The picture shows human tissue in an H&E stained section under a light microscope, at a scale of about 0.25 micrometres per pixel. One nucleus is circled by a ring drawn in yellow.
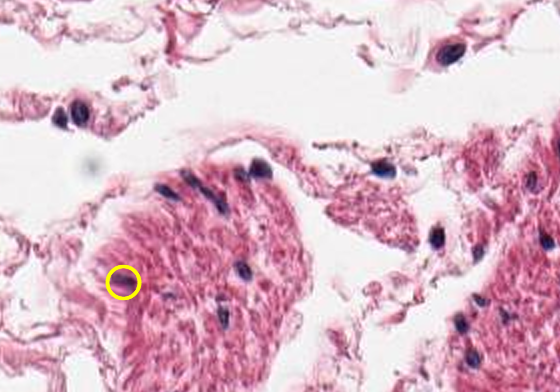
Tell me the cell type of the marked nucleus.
smooth muscle cell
